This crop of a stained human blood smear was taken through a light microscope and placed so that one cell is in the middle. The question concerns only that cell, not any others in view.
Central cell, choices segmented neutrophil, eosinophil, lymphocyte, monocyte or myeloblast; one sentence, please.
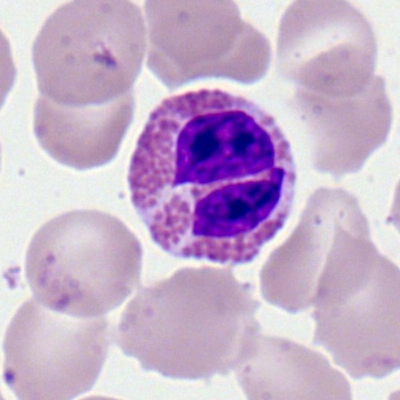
The cell of interest, in the center, is an eosinophil.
